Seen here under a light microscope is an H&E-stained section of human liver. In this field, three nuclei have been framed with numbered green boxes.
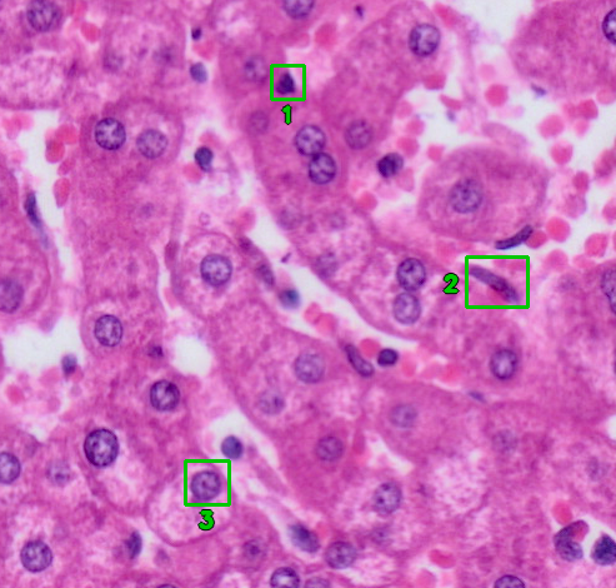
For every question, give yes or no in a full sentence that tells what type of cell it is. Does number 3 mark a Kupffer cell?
No, the cell labelled 3 is a hepatocyte and not a Kupffer cell.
